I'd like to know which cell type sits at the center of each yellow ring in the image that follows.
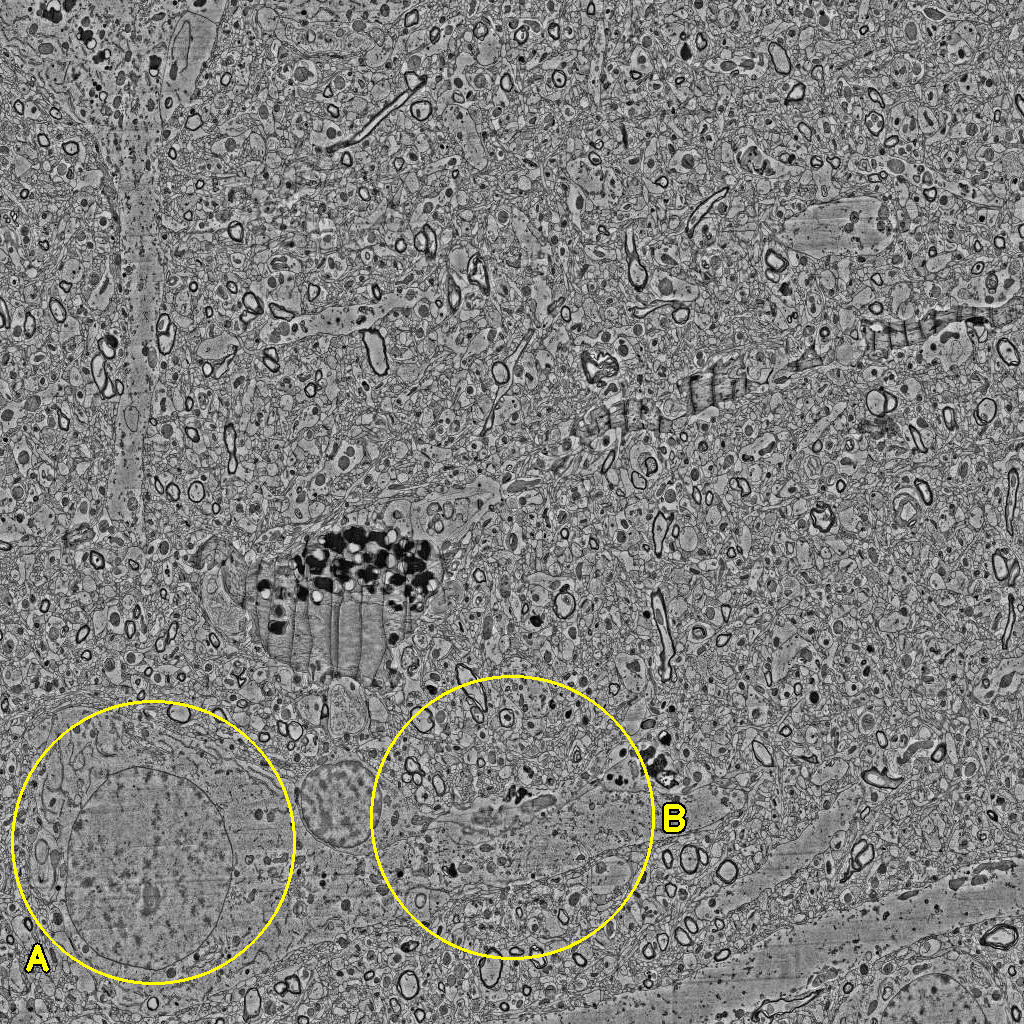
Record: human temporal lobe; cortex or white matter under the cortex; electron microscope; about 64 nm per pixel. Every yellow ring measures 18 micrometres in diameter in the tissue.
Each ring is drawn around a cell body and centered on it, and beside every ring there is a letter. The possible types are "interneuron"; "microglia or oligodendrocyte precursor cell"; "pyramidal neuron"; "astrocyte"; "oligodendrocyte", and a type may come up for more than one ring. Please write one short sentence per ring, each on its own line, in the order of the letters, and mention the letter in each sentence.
The cell at the center of ring A is a pyramidal neuron.
The cell at the center of ring B is a microglial cell or oligodendrocyte precursor cell.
